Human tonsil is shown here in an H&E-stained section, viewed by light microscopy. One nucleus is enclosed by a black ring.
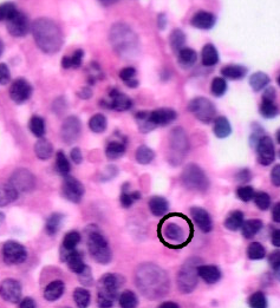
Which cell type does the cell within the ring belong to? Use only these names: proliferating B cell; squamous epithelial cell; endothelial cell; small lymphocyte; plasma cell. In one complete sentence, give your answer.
By cell type, the cell within the ring is an endothelial cell.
